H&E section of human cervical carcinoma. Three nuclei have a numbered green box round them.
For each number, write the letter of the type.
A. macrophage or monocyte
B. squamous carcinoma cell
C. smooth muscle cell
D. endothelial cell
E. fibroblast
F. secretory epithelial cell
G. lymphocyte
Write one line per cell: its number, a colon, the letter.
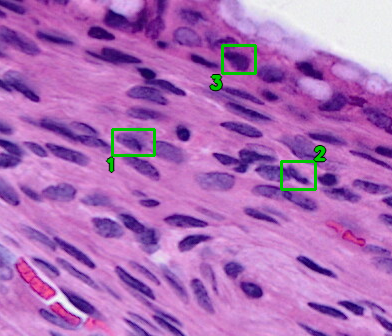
1: E
2: E
3: F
